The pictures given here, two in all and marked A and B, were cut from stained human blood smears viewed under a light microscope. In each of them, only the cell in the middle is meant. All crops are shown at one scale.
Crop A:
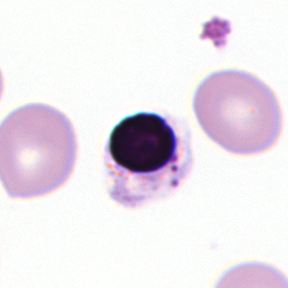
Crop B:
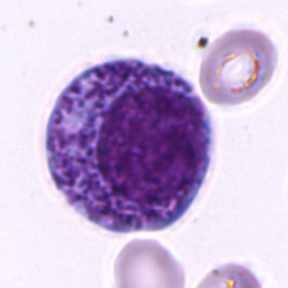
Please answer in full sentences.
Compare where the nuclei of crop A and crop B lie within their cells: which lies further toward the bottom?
It is the nucleus in crop B that lies further toward the bottom of its cell.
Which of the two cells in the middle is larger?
Larger is the cell in crop B, at roughly 3 times the area of the other.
